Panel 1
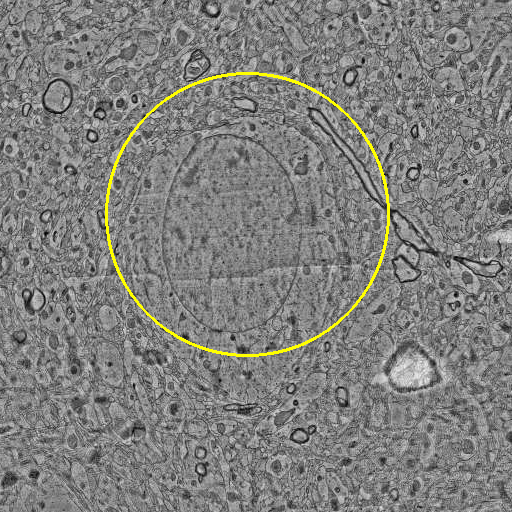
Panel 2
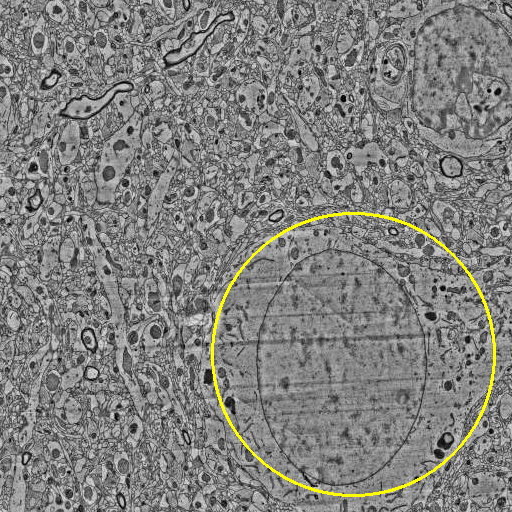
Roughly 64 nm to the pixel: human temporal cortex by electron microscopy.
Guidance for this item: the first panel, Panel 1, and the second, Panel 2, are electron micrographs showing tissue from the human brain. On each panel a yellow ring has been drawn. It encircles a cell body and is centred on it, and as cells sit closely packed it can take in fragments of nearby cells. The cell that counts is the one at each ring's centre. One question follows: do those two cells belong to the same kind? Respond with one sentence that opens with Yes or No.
Yes, the cells at the ring centres in Panel 1 and Panel 2 are of one kind.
